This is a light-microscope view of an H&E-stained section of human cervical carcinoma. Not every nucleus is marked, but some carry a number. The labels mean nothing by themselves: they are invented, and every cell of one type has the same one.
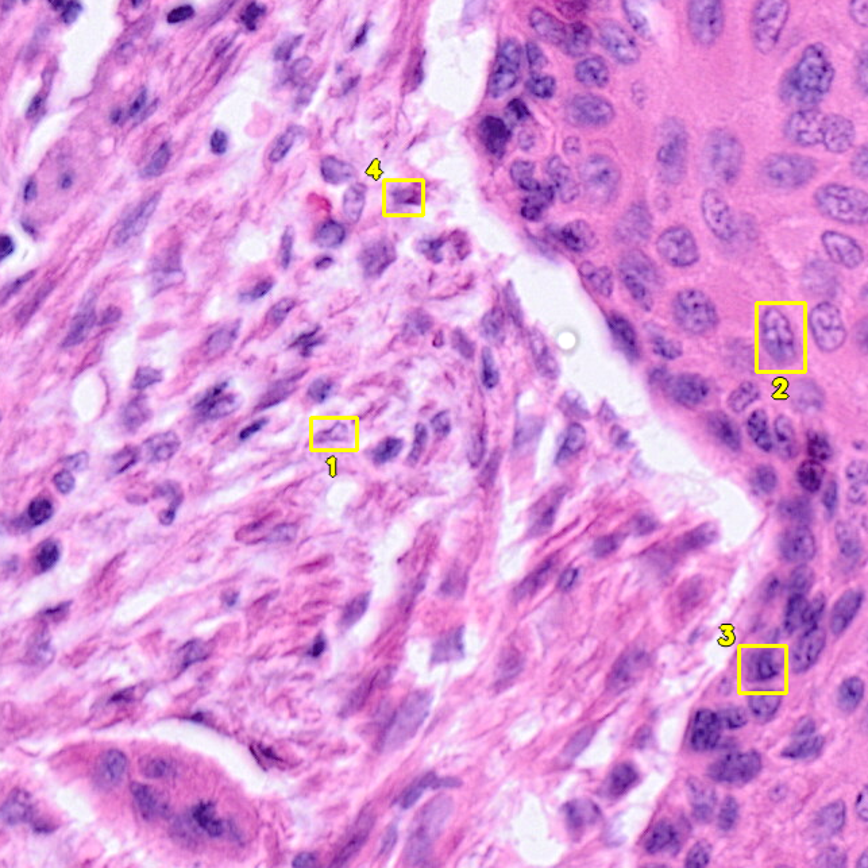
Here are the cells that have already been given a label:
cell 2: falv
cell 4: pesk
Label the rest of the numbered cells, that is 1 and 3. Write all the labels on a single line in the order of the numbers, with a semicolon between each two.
pesk; falv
